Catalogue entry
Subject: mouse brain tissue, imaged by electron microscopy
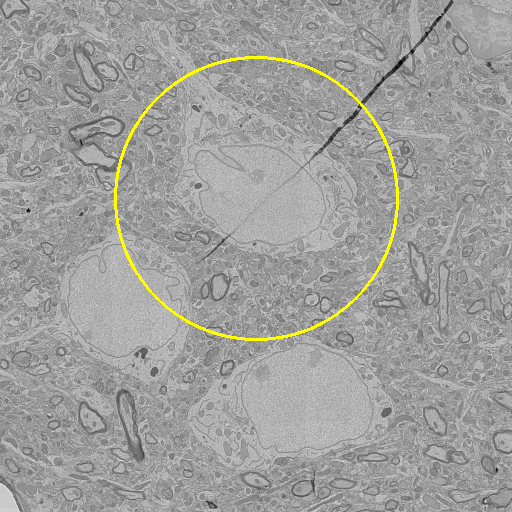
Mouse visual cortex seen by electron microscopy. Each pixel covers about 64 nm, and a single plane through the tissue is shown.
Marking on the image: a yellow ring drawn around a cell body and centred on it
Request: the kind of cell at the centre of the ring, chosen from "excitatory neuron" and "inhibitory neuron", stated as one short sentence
The ring has an excitatory neuron at its centre.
